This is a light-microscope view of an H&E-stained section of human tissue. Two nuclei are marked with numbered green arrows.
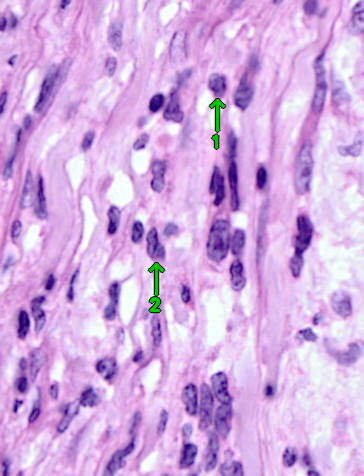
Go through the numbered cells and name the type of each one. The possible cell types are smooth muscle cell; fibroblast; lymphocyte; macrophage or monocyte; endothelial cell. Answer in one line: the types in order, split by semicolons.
lymphocyte; macrophage or monocyte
